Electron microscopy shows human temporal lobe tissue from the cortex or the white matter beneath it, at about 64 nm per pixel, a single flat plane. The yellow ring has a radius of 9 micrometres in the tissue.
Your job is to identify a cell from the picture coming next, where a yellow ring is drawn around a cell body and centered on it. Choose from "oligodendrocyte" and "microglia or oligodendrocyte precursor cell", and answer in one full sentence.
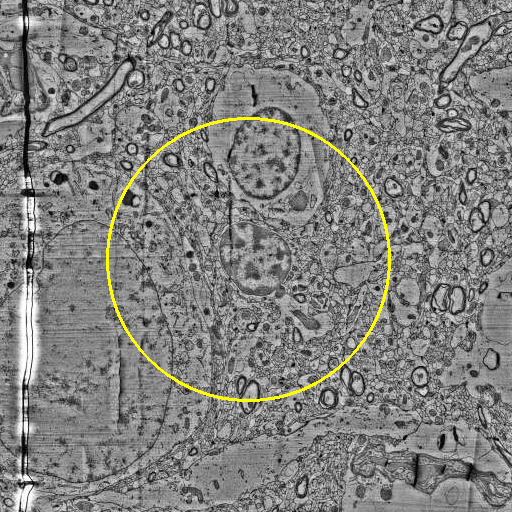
Centered in the yellow ring of the picture is the body of a microglial cell or oligodendrocyte precursor cell.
